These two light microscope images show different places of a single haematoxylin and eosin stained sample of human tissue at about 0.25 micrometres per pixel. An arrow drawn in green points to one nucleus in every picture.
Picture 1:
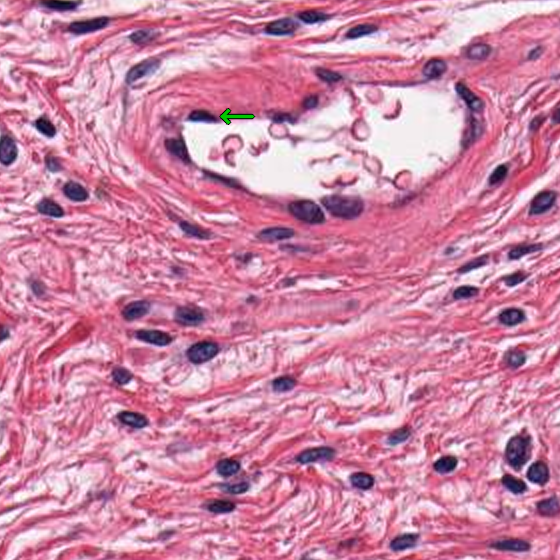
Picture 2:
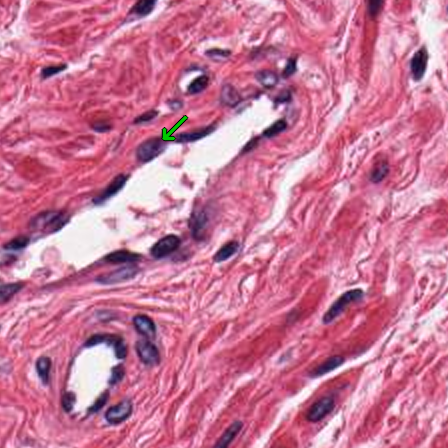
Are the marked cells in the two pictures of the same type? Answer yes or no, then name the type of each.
Yes, both are endothelial cells.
